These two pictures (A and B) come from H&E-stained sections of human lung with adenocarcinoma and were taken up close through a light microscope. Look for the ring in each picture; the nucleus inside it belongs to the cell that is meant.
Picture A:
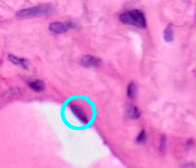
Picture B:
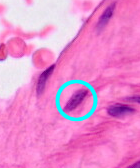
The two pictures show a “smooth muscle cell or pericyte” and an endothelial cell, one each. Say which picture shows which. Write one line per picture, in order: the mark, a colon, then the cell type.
A: endothelial cell
B: smooth muscle cell or pericyte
